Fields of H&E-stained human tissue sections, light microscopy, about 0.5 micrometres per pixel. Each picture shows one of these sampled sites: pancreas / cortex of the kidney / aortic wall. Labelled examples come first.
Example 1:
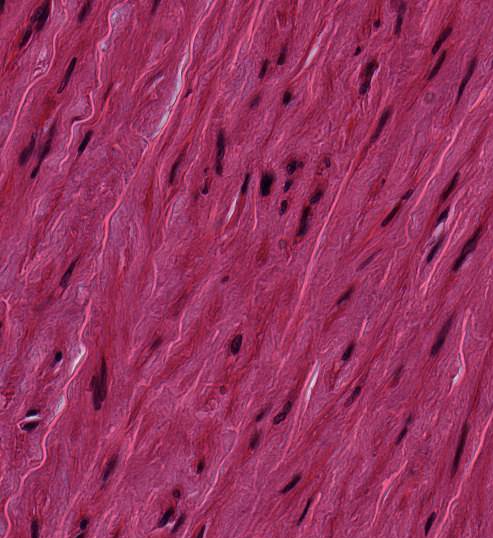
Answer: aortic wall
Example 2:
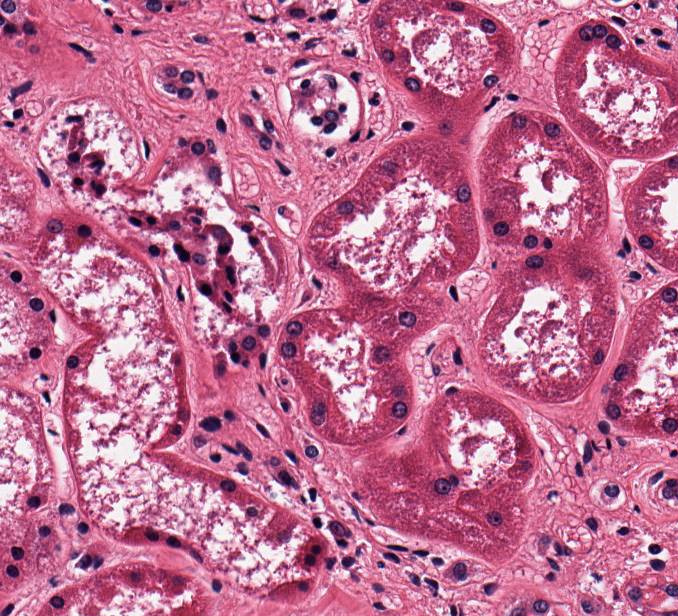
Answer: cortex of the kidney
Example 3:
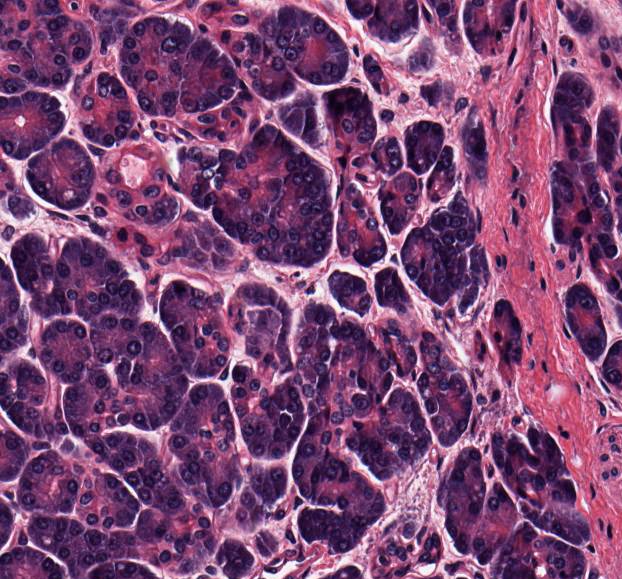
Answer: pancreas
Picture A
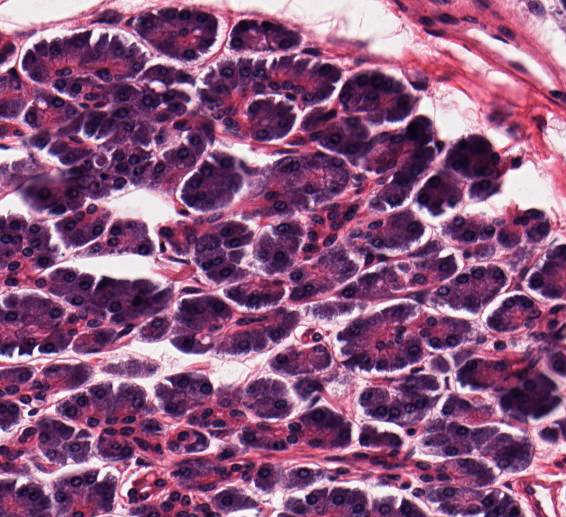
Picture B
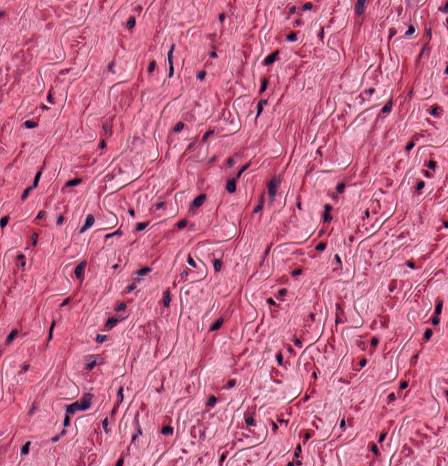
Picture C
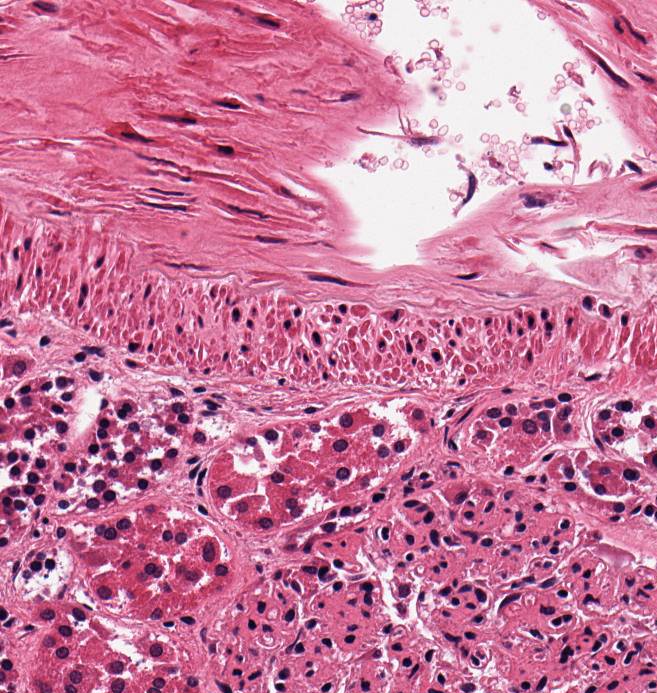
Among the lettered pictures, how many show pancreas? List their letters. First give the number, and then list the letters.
1, namely A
